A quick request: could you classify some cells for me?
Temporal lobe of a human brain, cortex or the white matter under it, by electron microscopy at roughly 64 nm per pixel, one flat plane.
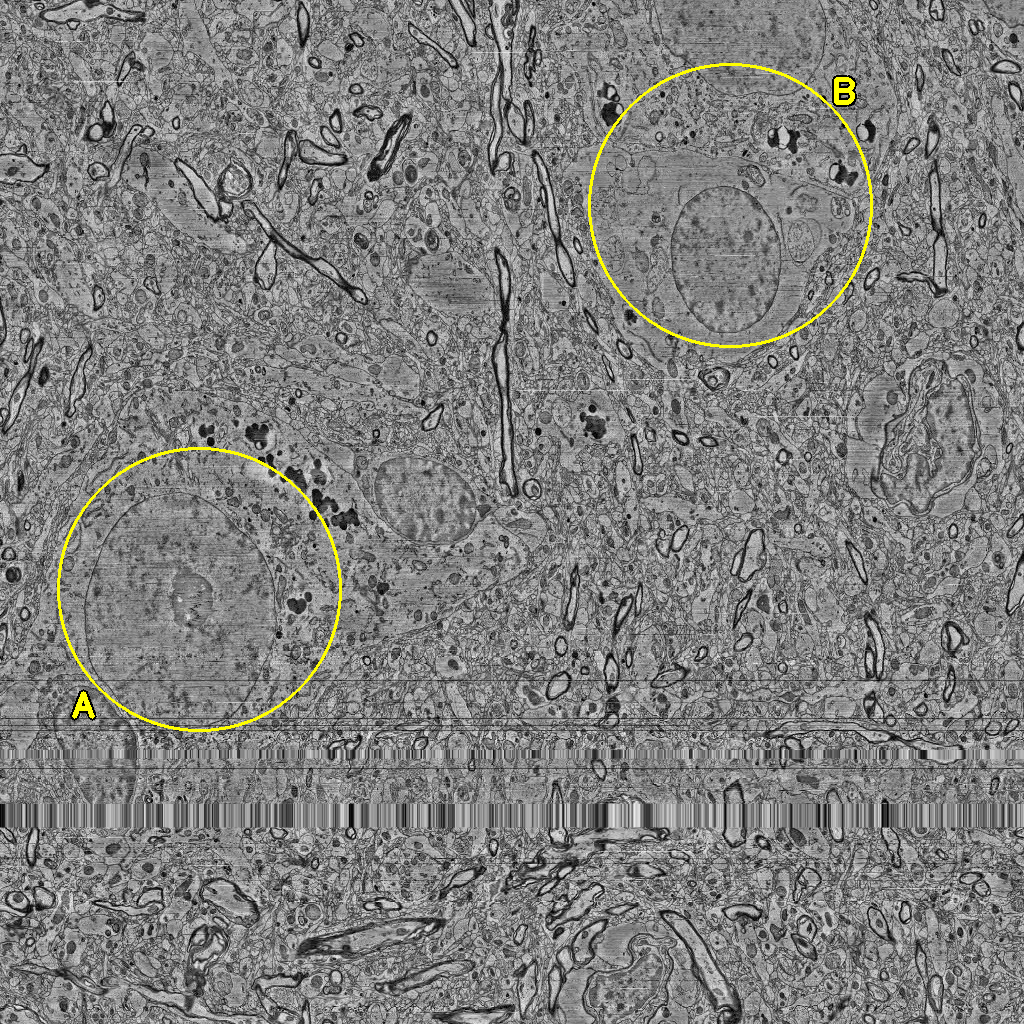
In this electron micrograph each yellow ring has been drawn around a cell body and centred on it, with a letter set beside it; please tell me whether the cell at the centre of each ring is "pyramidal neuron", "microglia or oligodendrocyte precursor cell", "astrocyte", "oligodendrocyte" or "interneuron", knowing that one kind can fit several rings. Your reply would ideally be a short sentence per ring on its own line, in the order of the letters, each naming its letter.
Ring A has a pyramidal neuron at its centre.
Ring B has an astrocyte at its centre.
